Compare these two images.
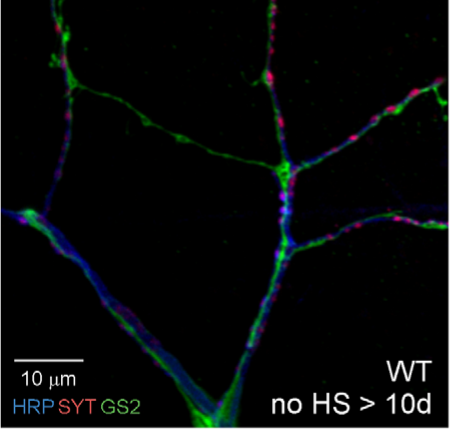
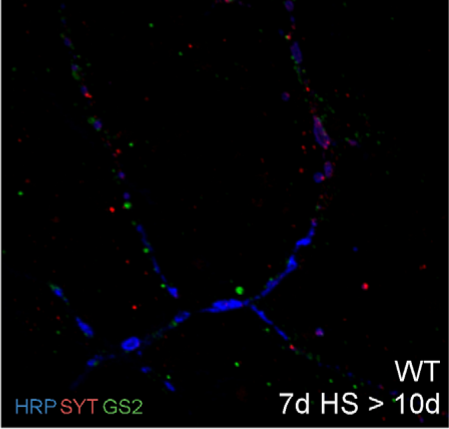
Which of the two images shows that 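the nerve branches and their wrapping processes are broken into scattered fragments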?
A: The second image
